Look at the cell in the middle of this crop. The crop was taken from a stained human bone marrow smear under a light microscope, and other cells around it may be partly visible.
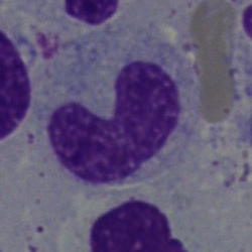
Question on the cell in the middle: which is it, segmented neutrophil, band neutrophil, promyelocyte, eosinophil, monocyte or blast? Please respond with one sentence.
Standing at the centre of this crop is a band neutrophil.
